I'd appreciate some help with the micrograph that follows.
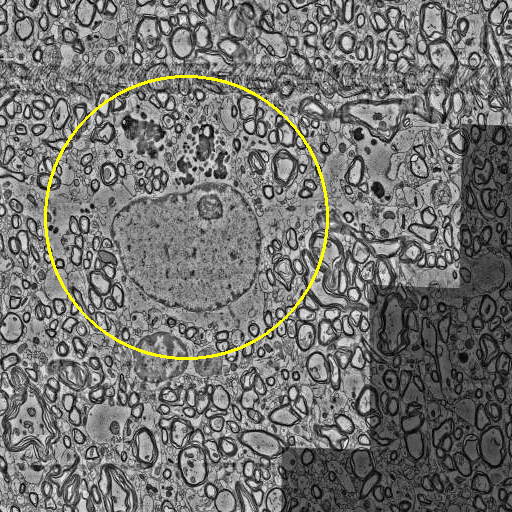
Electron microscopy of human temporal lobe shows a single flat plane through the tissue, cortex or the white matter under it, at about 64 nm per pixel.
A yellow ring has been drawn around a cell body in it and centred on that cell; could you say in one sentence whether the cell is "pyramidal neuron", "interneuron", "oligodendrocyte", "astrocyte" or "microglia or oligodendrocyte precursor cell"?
It is an astrocyte at the centre of the ring.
